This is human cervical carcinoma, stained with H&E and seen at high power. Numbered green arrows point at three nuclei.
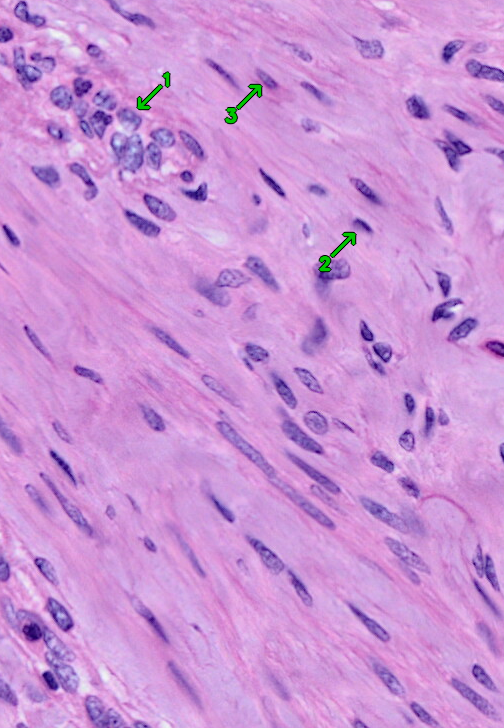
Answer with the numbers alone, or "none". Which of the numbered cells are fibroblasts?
2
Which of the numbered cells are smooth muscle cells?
3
